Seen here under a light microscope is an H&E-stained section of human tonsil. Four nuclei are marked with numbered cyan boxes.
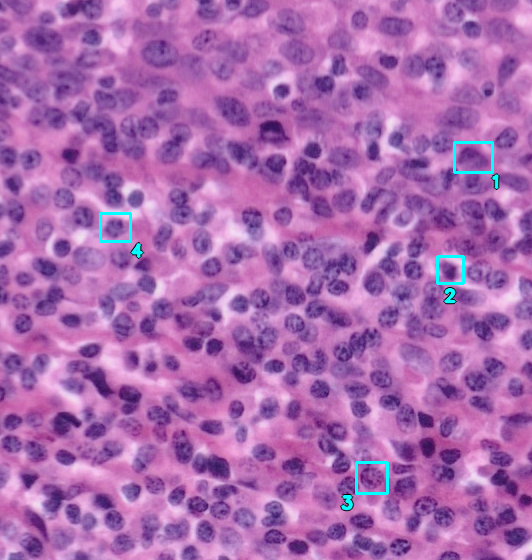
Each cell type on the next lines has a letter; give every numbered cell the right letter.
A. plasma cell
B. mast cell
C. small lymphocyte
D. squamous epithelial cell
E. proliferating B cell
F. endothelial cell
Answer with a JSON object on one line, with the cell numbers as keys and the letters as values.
{"1": "D", "2": "A", "3": "A", "4": "A"}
